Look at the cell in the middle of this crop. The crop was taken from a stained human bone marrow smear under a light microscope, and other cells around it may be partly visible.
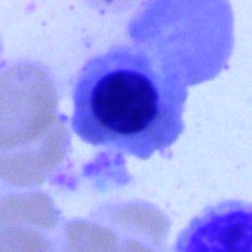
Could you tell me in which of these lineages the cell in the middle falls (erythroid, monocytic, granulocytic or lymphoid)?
erythroid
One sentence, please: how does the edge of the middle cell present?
The boundary of the cell runs irregularly, ragged in parts or drawn into projections.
